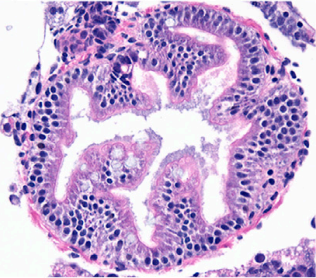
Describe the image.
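The lining rises into several folds that project into the central lumen, which is largely empty and white. Scattered pale, rounded, clear-looking cells sit among the epithelial cells. A thin pink band of wall encircles the tube, and beyond it lie neighbouring tissues with many dark nuclei. This is the intestinal mucosa with its villi, folded and well formed.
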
